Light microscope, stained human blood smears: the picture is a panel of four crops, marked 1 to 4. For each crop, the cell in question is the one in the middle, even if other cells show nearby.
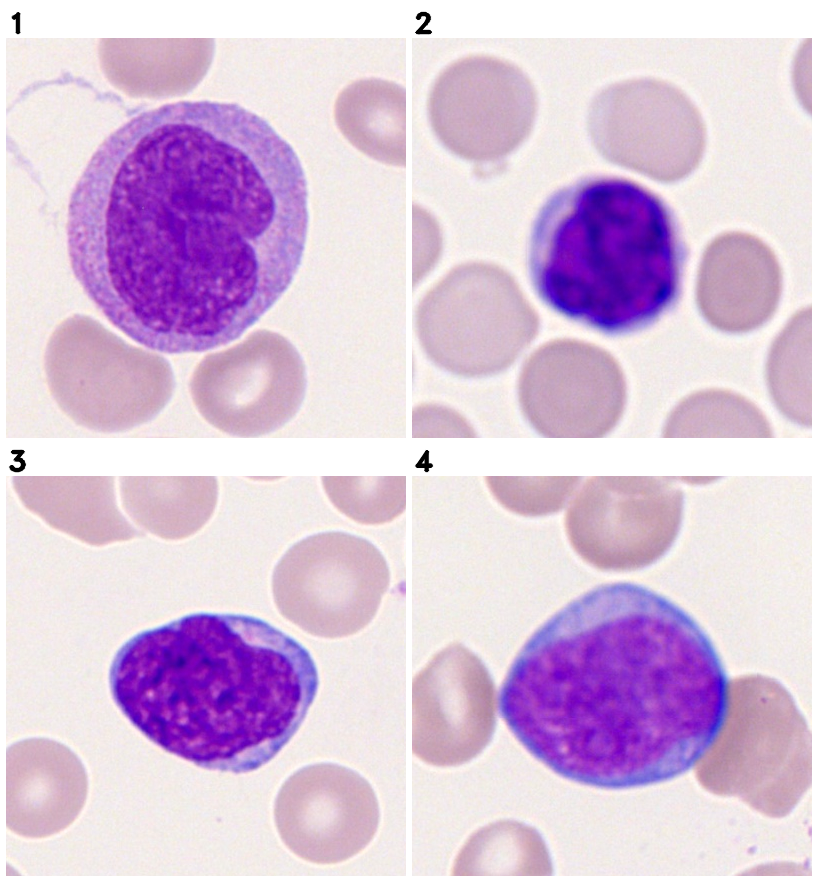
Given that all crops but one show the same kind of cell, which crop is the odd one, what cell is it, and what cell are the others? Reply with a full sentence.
Crop 2, showing a lymphocyte, is the exception; the others all show myeloblasts.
